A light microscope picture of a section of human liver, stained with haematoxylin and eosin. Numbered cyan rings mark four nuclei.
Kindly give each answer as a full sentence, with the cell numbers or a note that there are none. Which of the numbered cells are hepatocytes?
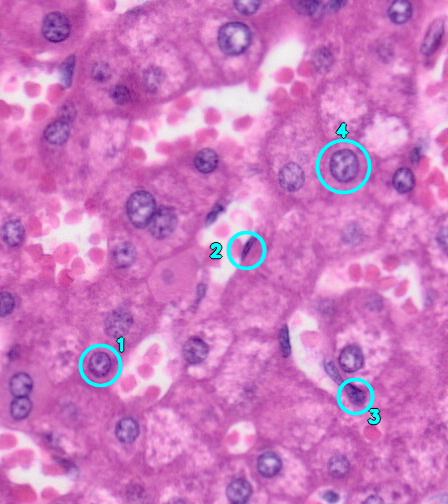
The numbers 1 and 4 in this section indicate hepatocytes.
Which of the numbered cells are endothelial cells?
Of the numbered cells, only cell 2 is an endothelial cell.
